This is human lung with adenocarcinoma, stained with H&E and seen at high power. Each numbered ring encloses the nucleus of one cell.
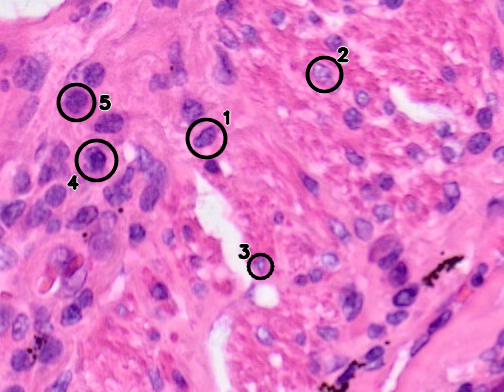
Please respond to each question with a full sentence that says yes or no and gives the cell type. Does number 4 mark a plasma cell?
Yes, it is a plasma cell that carries the number 4.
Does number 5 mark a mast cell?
No, number 5 is not a mast cell; it is a plasma cell.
